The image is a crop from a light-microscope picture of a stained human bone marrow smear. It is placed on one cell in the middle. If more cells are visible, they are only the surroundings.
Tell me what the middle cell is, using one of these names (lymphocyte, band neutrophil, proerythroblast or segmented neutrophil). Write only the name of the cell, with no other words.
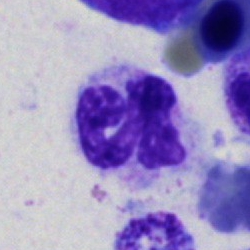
segmented neutrophil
